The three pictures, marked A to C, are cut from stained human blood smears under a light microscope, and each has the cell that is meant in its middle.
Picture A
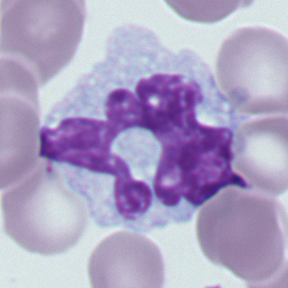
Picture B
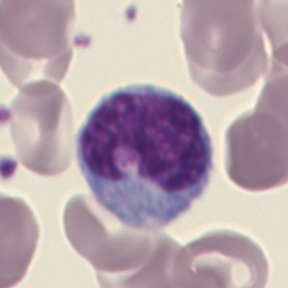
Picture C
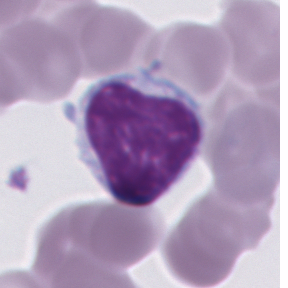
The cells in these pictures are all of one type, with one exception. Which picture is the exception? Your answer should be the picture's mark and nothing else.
C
